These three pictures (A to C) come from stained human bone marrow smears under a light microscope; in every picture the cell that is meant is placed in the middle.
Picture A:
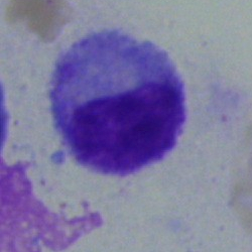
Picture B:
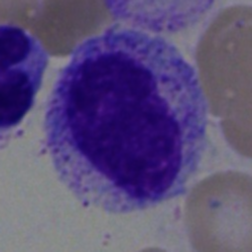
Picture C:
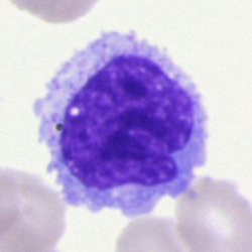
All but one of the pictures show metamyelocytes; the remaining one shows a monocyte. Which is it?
C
